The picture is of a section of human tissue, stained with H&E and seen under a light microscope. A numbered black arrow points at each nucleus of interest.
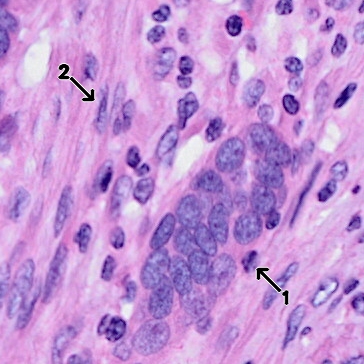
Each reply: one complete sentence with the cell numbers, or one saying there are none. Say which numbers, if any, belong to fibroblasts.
With the exception of cell 2, no marked cell is a fibroblast.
